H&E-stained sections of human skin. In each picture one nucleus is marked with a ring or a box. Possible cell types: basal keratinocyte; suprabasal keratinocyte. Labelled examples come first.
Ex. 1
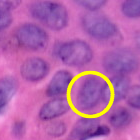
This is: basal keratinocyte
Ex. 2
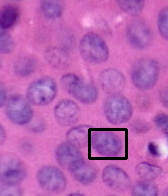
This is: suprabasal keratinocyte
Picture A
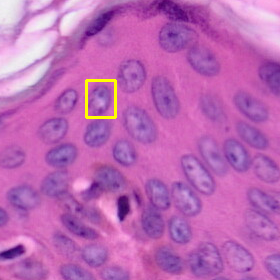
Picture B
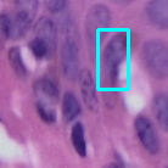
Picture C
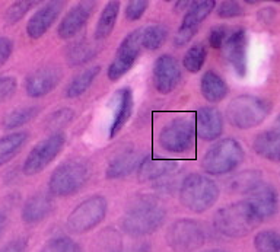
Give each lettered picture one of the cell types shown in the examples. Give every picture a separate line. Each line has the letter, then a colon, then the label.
A: suprabasal keratinocyte
B: basal keratinocyte
C: basal keratinocyte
